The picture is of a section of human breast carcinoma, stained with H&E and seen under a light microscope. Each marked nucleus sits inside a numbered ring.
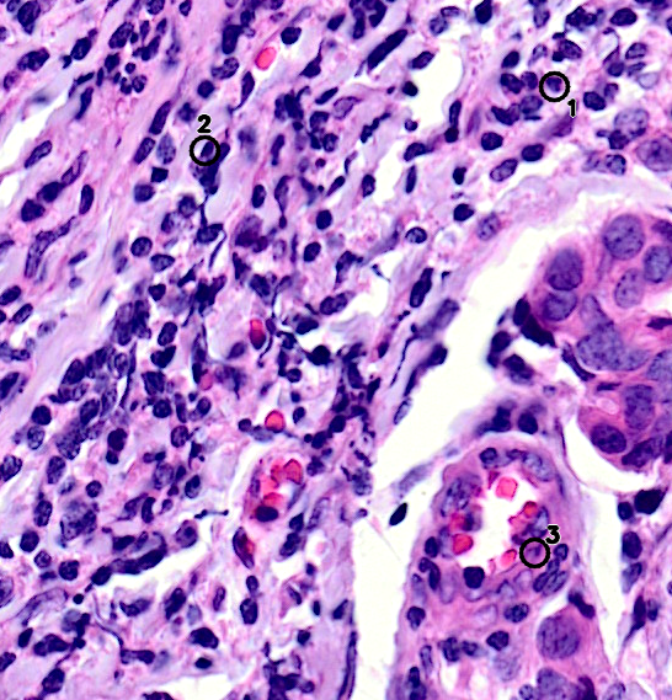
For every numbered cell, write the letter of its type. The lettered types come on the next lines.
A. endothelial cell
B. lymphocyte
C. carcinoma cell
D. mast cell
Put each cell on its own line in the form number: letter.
1: B
2: B
3: A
